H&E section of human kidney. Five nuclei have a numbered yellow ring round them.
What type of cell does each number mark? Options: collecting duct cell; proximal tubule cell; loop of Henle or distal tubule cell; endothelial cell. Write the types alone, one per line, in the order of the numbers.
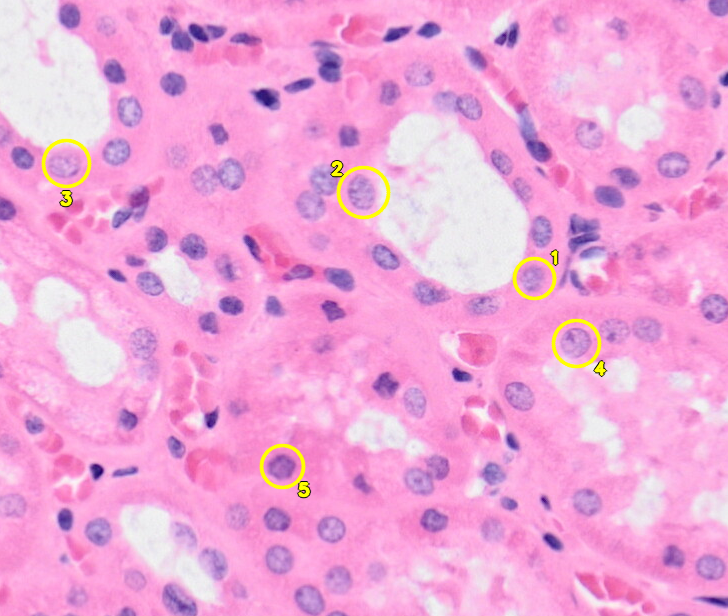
loop of Henle or distal tubule cell
loop of Henle or distal tubule cell
loop of Henle or distal tubule cell
proximal tubule cell
proximal tubule cell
